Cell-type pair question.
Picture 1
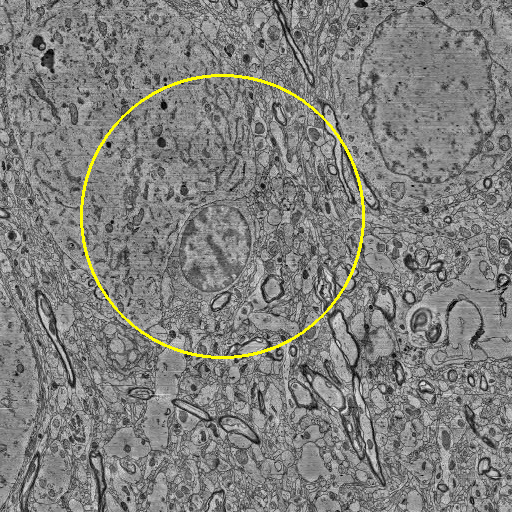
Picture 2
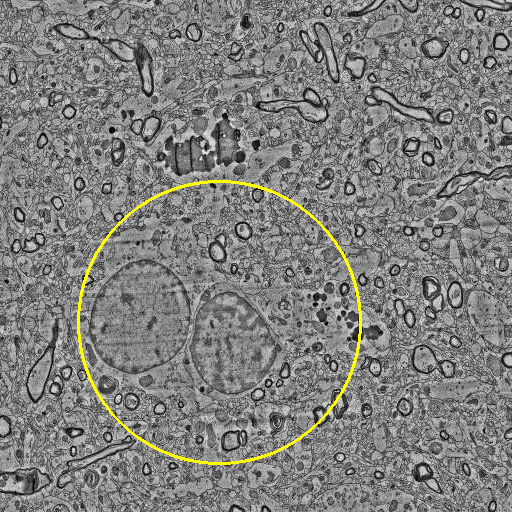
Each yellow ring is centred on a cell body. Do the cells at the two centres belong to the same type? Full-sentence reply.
Yes, the two cells belong to the same type.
